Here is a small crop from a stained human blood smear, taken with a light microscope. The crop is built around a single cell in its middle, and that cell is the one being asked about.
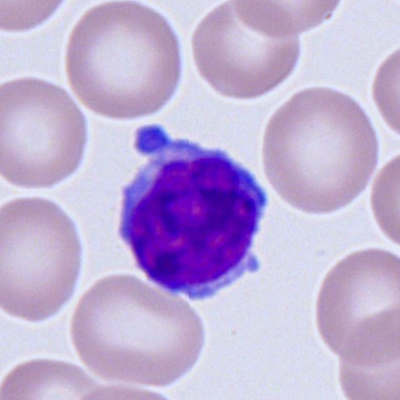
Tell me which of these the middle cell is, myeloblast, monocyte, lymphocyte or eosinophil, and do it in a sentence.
The cell marked by its central position in the crop is a lymphocyte.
